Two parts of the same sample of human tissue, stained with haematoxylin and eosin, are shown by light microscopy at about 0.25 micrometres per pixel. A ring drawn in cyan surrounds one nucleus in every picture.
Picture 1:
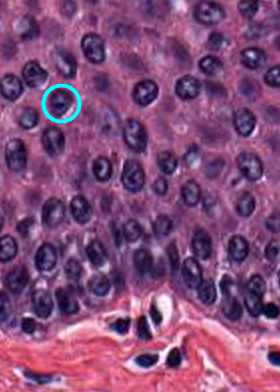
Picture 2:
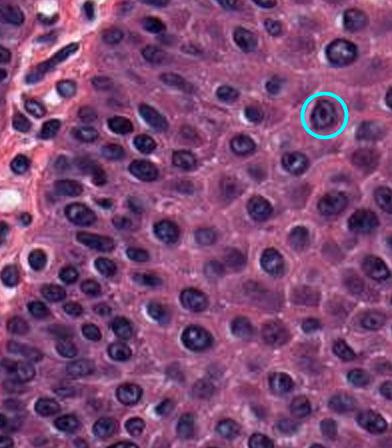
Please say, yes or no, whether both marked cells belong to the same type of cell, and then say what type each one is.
Yes, both are squamous epithelial cells.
